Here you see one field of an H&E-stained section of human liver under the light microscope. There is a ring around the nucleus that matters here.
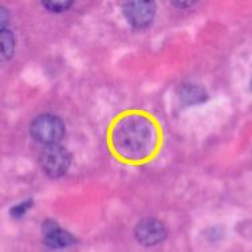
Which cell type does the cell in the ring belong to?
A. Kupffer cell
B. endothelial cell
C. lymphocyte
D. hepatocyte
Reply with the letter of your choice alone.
D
